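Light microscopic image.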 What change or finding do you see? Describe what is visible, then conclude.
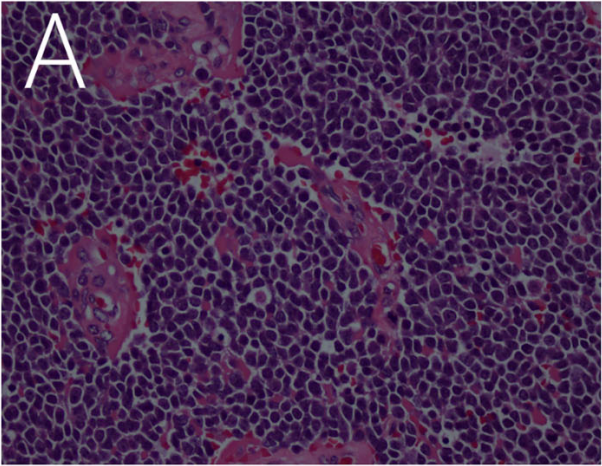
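Intense staining of the nuclei. The nuclei are dark purple. The dark nuclei dominate the field over the scant cytoplasm.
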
